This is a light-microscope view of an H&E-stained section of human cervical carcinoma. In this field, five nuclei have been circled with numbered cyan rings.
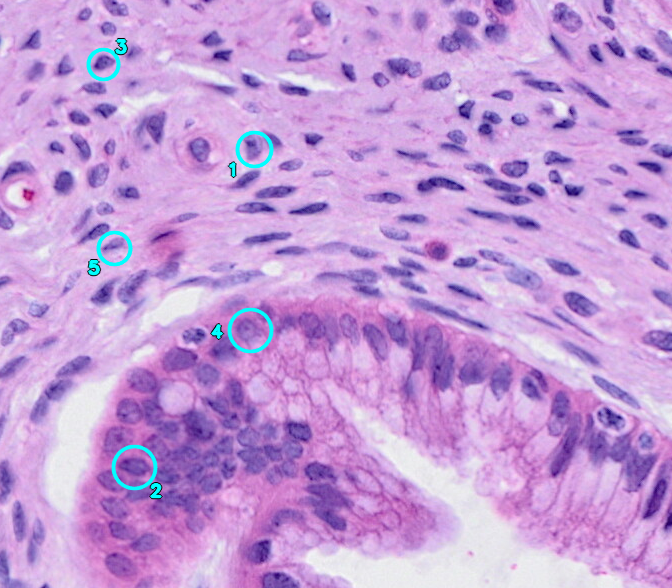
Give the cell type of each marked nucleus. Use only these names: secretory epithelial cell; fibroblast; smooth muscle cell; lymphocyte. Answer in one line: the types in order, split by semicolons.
fibroblast; secretory epithelial cell; fibroblast; secretory epithelial cell; fibroblast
